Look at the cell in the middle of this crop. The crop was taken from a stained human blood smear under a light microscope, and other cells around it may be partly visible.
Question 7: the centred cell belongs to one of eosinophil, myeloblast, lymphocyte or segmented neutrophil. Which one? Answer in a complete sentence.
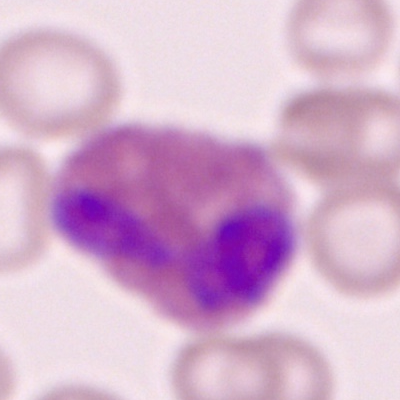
The centrally located cell in the crop is an eosinophil.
